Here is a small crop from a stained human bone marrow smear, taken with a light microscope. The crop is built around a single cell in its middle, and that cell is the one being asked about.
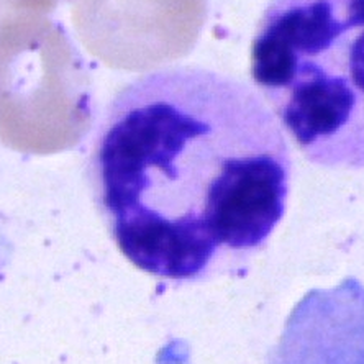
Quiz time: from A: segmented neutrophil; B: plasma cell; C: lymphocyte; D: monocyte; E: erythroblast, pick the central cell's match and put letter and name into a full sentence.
The cell shown centrally is a segmented neutrophil; option A is the correct option.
